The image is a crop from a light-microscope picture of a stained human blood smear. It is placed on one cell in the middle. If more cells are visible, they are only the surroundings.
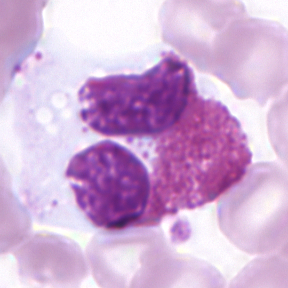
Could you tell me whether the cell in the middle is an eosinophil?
yes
